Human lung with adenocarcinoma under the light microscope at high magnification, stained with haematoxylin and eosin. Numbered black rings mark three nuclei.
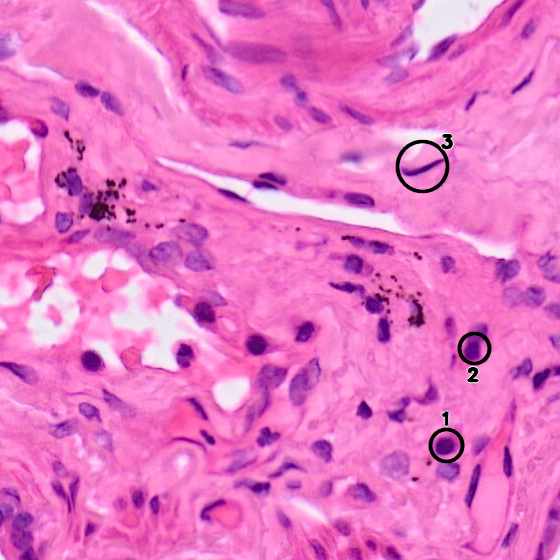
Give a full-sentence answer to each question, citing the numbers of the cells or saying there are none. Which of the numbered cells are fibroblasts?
Only cell 3 qualifies as a fibroblast among the numbered cells.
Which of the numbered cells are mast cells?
Among all the marked cells, a mast cell is found only at number 2.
